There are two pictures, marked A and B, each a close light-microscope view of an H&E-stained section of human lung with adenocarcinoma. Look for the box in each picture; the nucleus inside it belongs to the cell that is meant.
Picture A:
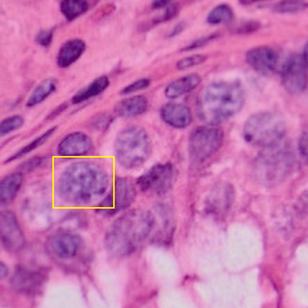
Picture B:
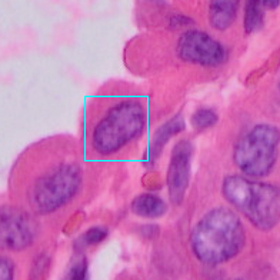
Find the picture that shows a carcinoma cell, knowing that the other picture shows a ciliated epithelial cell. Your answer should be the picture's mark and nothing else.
B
